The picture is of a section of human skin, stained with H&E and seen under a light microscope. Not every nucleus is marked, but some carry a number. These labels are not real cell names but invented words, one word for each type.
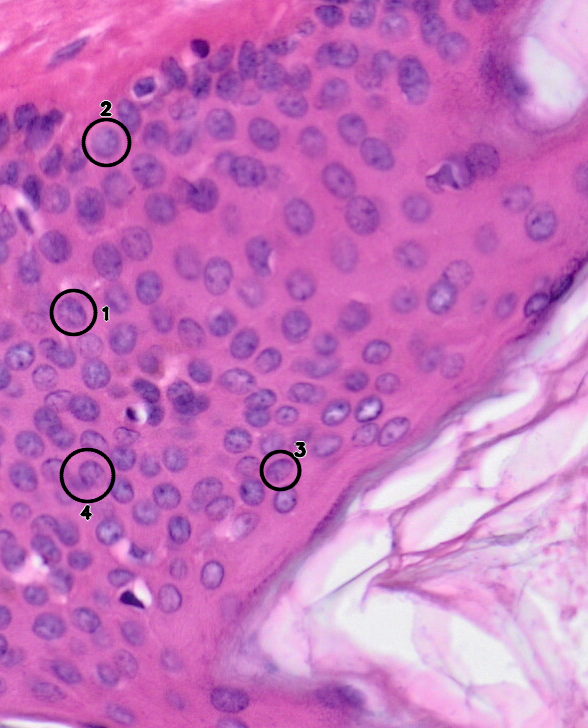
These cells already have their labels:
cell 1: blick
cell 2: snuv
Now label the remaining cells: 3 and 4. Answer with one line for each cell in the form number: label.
3: blick
4: blick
